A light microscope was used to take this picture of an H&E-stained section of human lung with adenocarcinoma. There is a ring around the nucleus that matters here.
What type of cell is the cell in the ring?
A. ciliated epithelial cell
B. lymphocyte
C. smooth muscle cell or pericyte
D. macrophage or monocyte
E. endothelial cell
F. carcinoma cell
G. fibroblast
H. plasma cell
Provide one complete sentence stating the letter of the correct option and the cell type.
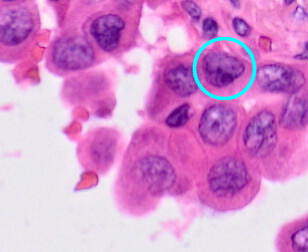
Option F describes the cell in the ring accurately as a carcinoma cell.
